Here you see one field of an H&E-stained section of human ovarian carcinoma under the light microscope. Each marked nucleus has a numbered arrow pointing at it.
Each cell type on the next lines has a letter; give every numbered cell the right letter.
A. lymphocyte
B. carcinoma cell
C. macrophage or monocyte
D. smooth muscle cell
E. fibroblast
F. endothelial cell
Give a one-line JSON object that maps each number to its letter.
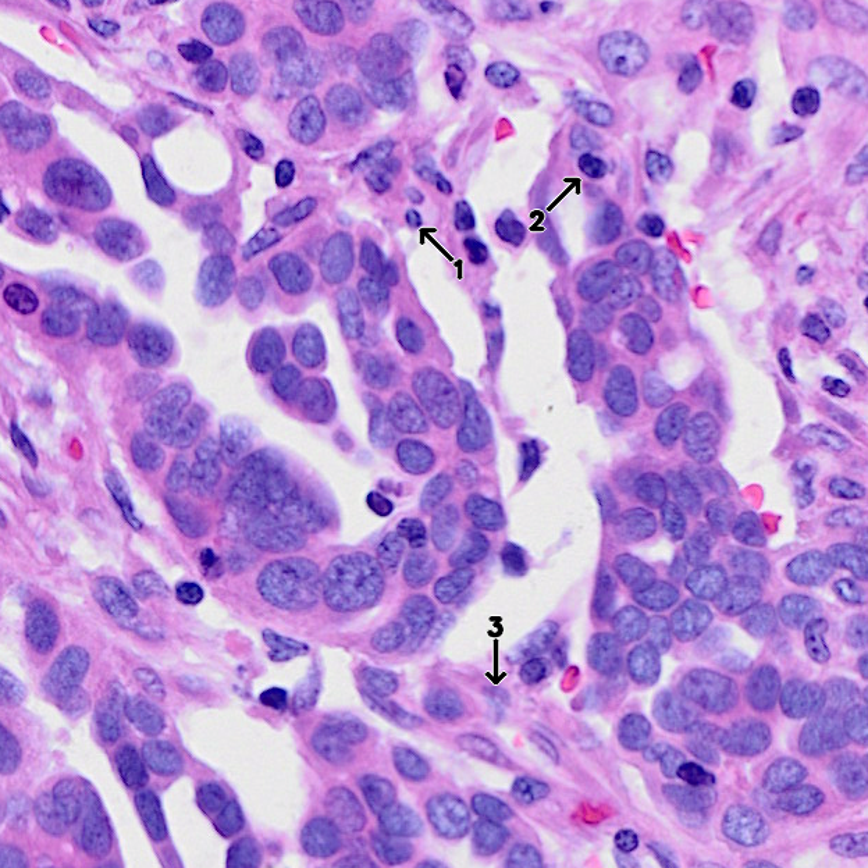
{"1": "A", "2": "A", "3": "E"}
